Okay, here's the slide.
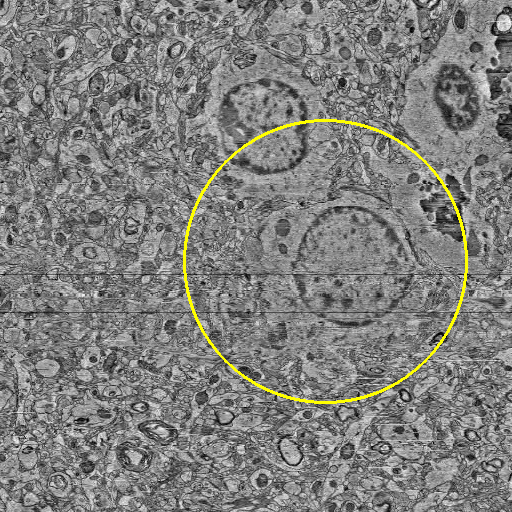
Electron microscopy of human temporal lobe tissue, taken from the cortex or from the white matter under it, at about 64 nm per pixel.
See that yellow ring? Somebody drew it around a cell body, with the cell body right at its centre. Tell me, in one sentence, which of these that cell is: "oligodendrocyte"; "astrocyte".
The cell in the middle of the ring is an astrocyte.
